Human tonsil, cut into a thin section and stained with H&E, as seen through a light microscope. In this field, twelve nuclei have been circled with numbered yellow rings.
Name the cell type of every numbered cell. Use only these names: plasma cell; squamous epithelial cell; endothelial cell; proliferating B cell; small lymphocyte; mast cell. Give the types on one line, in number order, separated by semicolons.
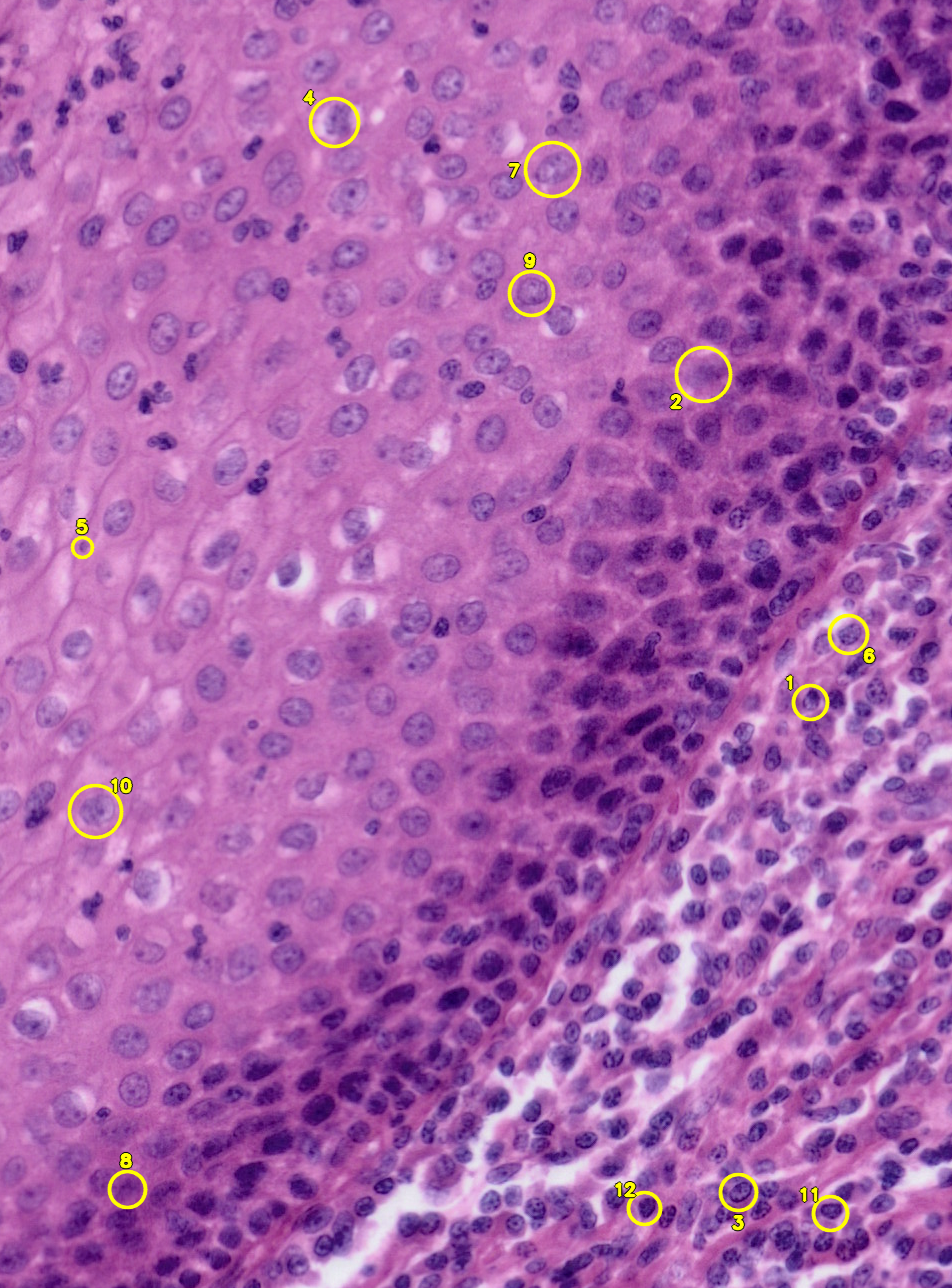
plasma cell; squamous epithelial cell; plasma cell; squamous epithelial cell; squamous epithelial cell; plasma cell; squamous epithelial cell; squamous epithelial cell; squamous epithelial cell; squamous epithelial cell; plasma cell; plasma cell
